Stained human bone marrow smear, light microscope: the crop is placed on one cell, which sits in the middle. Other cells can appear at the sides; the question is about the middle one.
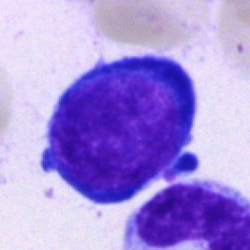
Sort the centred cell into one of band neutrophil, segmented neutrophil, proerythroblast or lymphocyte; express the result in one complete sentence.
For this crop, the cell in the middle is a proerythroblast.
